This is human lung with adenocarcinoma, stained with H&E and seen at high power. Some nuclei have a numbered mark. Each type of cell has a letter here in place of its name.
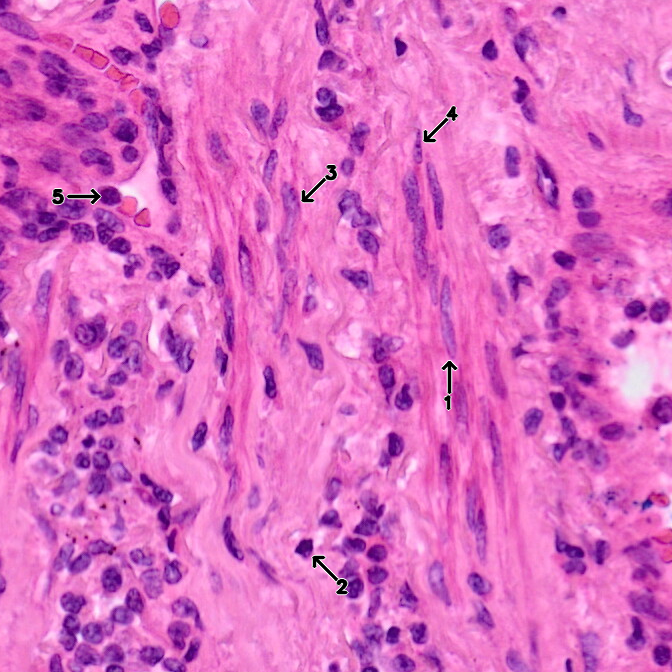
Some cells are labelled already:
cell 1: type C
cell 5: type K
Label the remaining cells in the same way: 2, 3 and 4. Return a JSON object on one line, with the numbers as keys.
{"2": "type K", "3": "type C", "4": "type C"}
